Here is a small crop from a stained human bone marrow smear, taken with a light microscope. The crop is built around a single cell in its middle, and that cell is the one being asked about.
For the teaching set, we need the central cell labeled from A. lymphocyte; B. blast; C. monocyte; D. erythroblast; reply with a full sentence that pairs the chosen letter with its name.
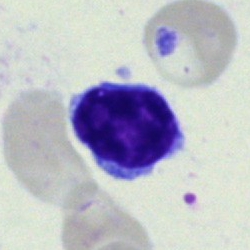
Identification: the cell in the middle is a lymphocyte, matching option A.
